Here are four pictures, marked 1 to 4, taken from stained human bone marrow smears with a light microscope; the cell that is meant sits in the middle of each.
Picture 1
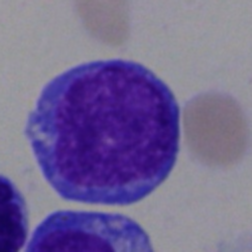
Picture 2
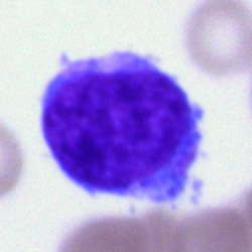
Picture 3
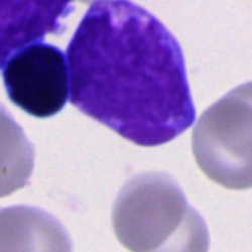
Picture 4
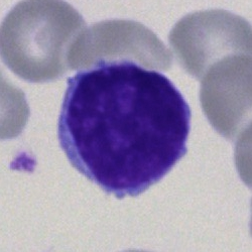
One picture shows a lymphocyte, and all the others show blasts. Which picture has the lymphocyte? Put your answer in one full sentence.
The lymphocyte is the one in picture 4.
